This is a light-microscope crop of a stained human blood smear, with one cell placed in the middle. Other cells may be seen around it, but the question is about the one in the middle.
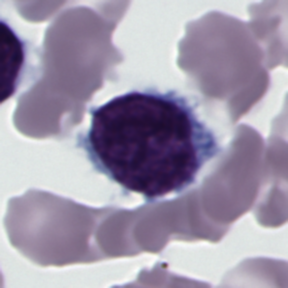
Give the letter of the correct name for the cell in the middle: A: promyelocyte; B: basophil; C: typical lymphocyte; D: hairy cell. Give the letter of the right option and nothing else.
D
